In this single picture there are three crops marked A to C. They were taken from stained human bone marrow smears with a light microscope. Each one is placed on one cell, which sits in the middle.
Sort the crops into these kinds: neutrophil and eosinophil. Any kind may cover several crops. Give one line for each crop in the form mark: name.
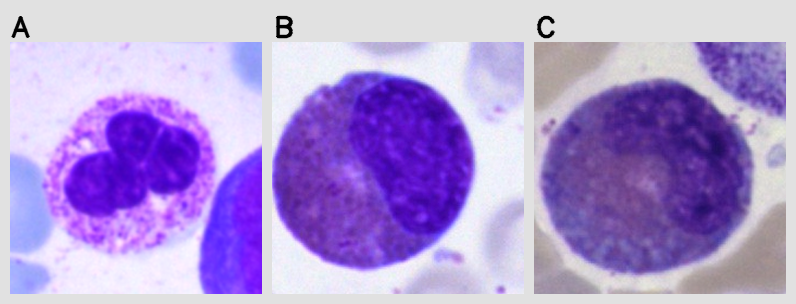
A: neutrophil
B: eosinophil
C: eosinophil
